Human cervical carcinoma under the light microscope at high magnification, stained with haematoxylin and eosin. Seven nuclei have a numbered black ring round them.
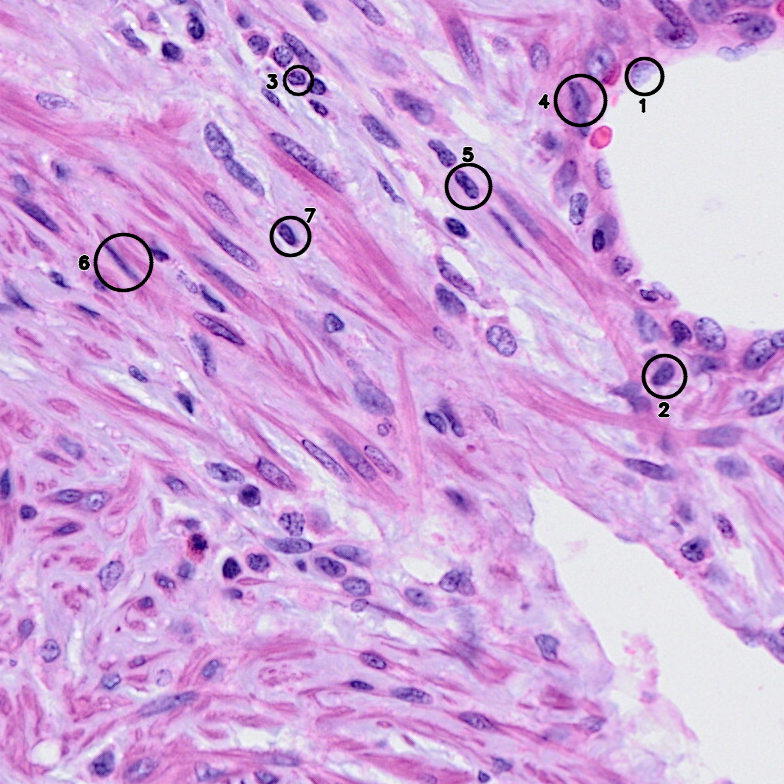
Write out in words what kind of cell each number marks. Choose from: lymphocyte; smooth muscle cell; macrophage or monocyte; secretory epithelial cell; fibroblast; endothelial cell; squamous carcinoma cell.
Cells 1 and 4 are endothelial cells. Cells 2, 3, 5 and 7 are lymphocytes. Cell 6 is a smooth muscle cell.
